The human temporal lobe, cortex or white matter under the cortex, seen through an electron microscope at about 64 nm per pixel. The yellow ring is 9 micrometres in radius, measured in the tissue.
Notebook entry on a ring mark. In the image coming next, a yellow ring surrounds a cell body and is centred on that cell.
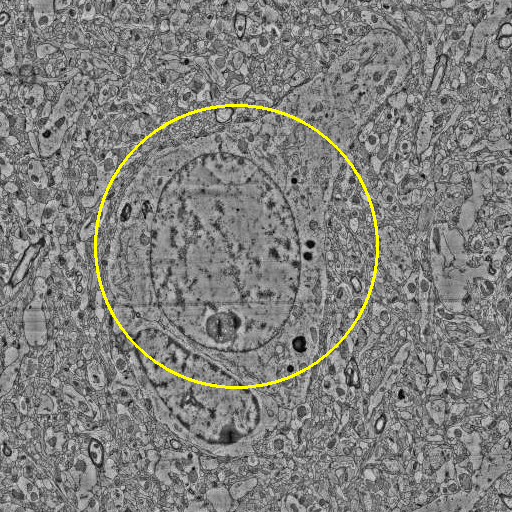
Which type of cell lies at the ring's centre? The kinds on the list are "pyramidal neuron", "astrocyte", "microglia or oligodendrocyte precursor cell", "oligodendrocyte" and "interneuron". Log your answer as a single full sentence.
Centred in the yellow ring is a pyramidal neuron, the cell recorded for this image.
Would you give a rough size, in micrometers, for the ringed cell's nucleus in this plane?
In this plane, about 13 micrometres in length and 10 in width.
